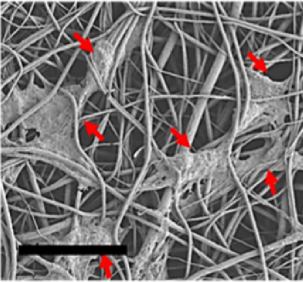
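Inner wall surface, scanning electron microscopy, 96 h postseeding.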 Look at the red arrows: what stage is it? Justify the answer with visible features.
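The marked cells are flattened over the fiber mesh. The marked cells send thin processes outward along the fibers. The cells have broad, irregular outlines rather than round shapes. On this evidence: well‐spread.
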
